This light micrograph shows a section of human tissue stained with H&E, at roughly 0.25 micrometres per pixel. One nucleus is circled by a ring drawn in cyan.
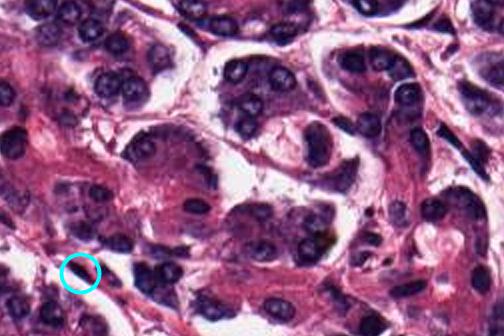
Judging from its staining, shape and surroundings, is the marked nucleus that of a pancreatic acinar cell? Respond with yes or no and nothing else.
no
